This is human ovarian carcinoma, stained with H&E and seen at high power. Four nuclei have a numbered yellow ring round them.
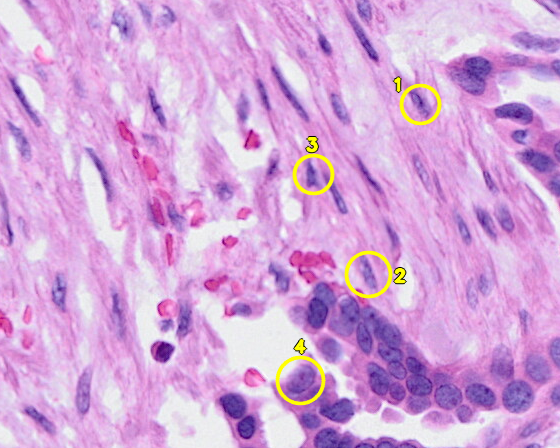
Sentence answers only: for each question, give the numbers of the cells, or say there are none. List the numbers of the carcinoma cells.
Cell 4 is a carcinoma cell, while every other numbered cell is not.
